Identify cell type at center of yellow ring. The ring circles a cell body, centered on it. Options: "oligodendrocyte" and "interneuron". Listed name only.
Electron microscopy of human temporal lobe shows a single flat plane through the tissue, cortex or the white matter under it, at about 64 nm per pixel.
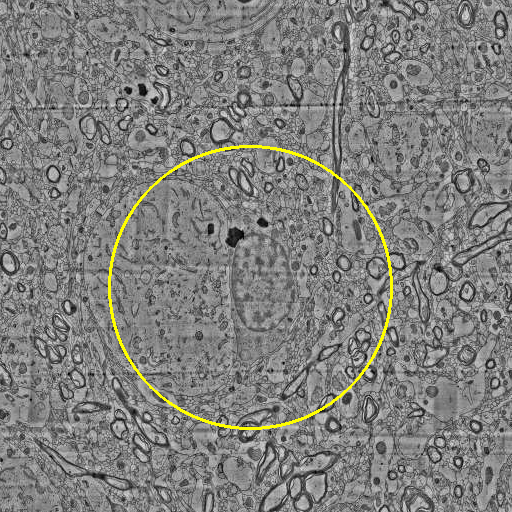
oligodendrocyte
